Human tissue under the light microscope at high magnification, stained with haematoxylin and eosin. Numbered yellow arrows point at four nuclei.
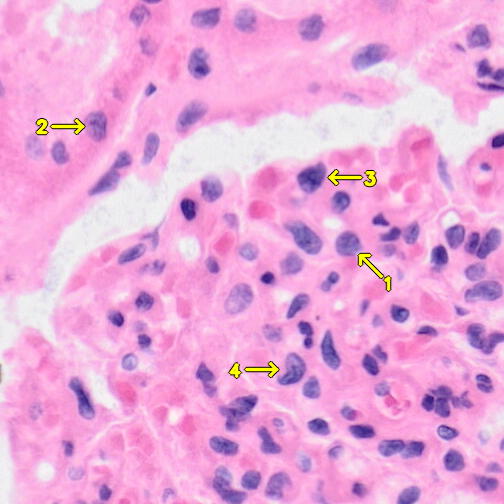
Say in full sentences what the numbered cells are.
Cells 1, 3 and 4 are endothelial cells. Cell 2 is a proximal tubule cell.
